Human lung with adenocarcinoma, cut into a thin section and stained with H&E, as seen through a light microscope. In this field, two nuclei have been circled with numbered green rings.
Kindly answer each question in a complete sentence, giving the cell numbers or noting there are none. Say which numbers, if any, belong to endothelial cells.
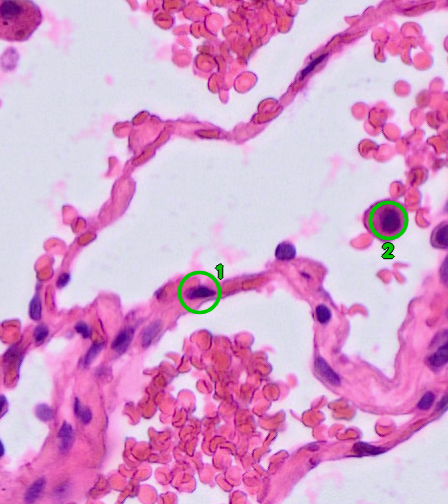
Exactly one numbered cell is an endothelial cell, and that cell is number 1.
